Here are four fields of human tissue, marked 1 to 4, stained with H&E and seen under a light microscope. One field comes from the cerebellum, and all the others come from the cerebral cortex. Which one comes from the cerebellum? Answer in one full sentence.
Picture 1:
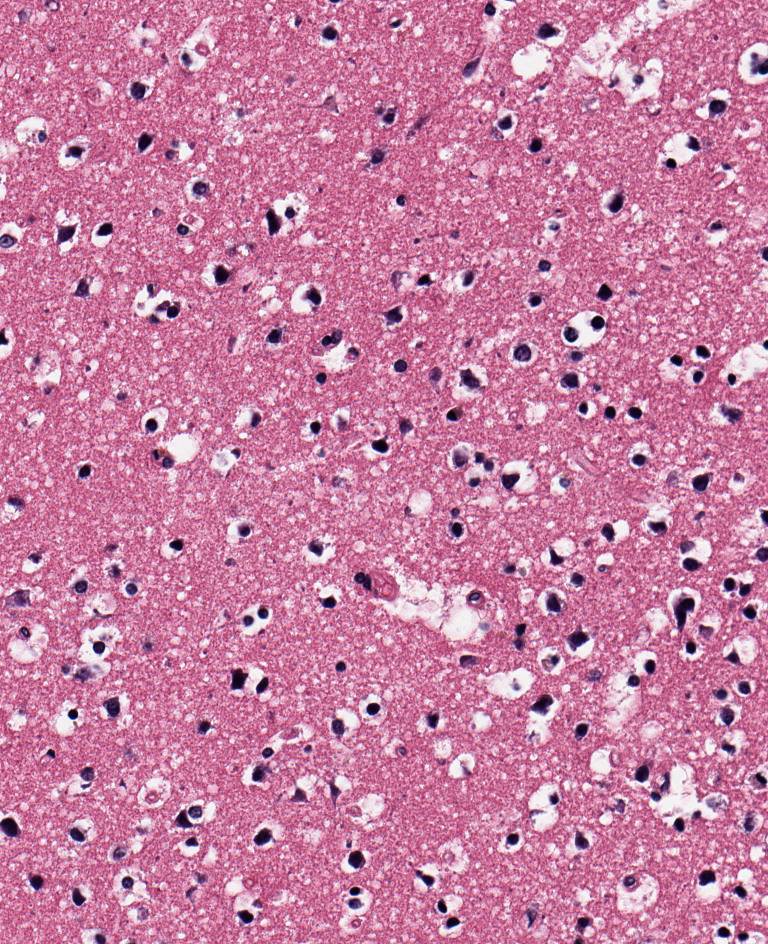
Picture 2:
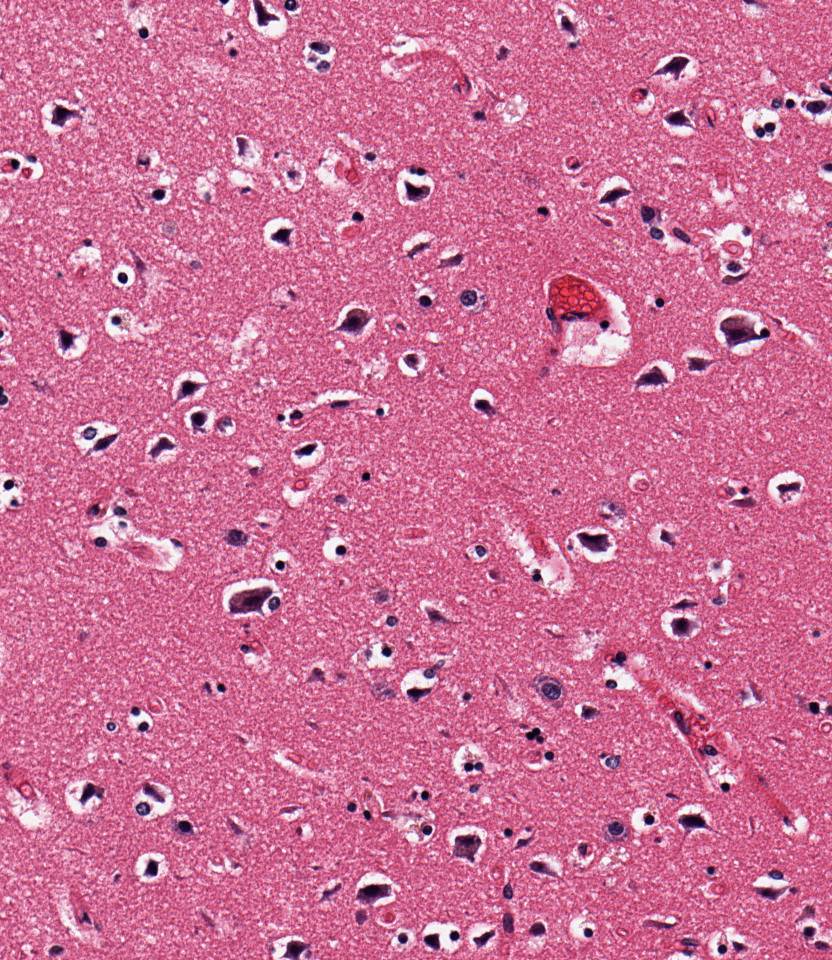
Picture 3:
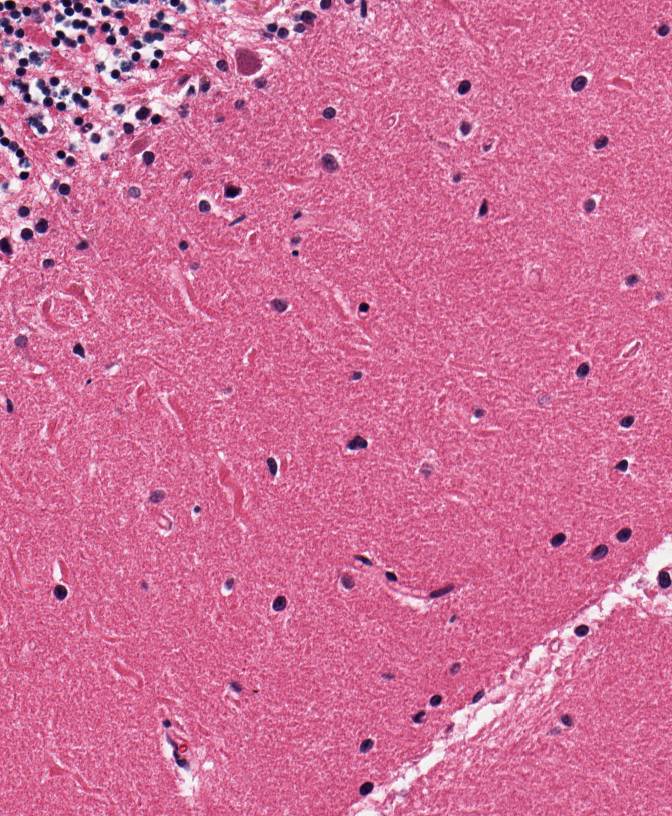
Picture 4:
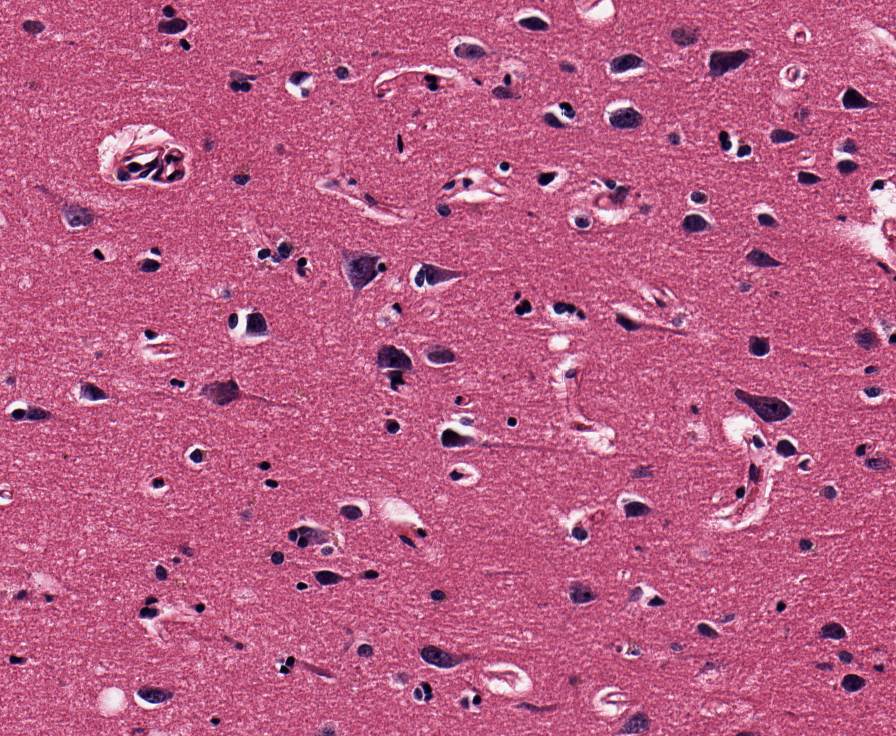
Picture 3 is the field that comes from the cerebellum.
